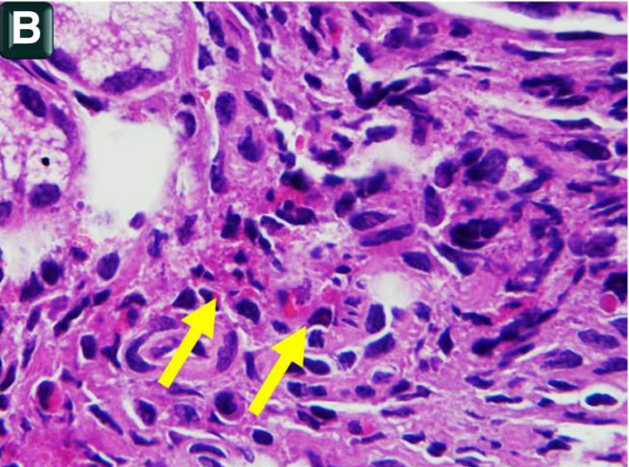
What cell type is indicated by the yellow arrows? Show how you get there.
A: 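The marked cells have pink-red cytoplasm and dark nuclei. They lie among spindle-shaped stromal cells. The answer: eosinophils.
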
